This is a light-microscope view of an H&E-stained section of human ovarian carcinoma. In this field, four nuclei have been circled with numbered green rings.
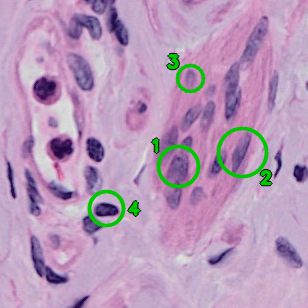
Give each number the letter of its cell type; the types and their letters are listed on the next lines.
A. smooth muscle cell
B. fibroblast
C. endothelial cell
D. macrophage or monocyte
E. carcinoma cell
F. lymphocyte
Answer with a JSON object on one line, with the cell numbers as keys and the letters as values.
{"1": "A", "2": "A", "3": "A", "4": "F"}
